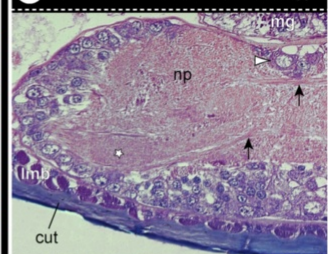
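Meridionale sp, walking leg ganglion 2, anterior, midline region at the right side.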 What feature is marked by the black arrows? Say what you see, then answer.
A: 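The arrows point to fibrous strands within the pink neuropil running toward the right side. The answer: commissural tracts.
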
